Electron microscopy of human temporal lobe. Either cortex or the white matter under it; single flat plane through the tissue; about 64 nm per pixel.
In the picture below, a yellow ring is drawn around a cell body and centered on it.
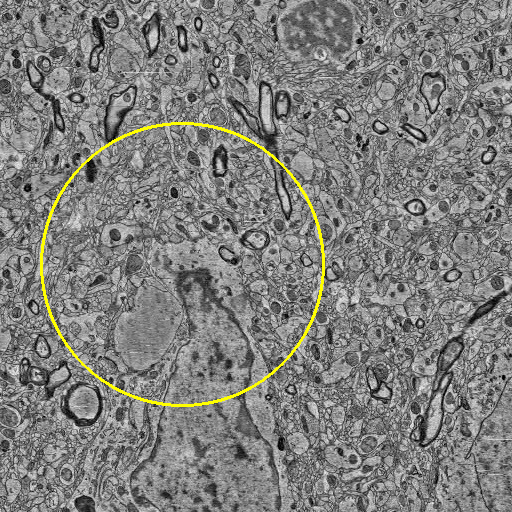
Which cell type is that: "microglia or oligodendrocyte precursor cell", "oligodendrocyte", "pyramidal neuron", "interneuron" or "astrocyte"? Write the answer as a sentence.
The cell centered in the ring is a microglial cell or oligodendrocyte precursor cell.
